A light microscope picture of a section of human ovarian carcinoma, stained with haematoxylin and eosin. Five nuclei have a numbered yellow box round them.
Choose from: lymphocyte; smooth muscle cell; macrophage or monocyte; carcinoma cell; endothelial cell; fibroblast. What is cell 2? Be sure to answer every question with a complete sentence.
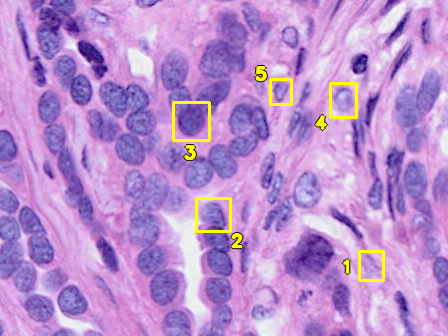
The cell marked with number 2 is a carcinoma cell.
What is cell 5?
Of the numbered cells, the one labelled 5 is a fibroblast.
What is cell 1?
As for number 1, that cell is a fibroblast.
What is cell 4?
The cell carrying label 4 is identified as a fibroblast.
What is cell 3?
As for number 3, that cell is a carcinoma cell.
